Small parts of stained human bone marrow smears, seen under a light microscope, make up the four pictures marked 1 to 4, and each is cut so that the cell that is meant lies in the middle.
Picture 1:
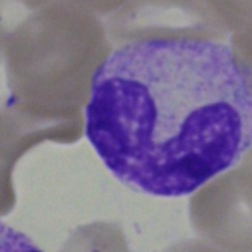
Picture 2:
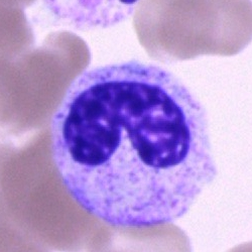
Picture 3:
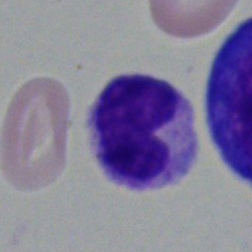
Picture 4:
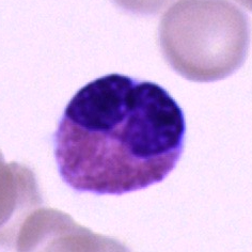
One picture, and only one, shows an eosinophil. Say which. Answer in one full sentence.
The eosinophil is the one in picture 4.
